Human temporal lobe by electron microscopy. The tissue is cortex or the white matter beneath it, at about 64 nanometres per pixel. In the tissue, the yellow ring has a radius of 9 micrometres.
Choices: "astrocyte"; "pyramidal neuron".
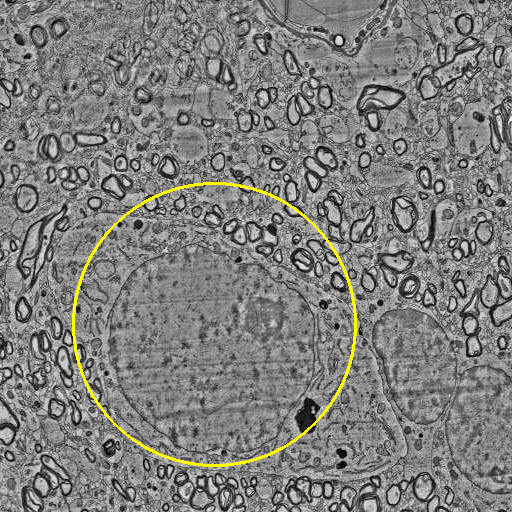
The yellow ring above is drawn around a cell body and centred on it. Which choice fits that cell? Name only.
pyramidal neuron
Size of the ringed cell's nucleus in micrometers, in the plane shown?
About 13 micrometres across in this plane, for the nucleus.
